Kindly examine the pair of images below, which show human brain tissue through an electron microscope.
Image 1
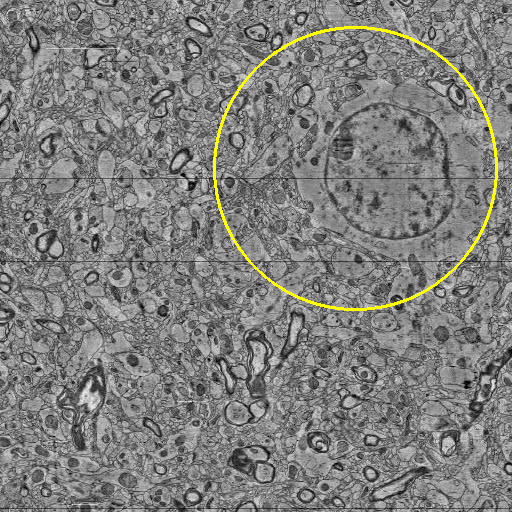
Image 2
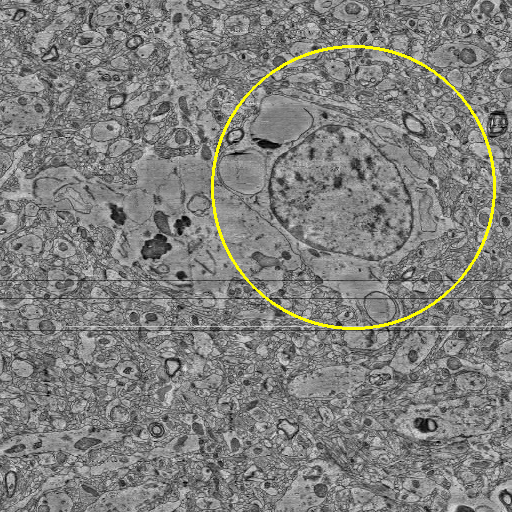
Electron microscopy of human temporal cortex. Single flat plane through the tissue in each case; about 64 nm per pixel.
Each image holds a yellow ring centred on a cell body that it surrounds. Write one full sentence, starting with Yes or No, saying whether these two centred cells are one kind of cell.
Yes, both cells at the centres of the yellow rings belong to one kind of cell.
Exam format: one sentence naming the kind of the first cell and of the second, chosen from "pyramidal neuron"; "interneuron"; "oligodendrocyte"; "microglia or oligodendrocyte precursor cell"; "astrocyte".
The first and the second cell are each an astrocyte.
